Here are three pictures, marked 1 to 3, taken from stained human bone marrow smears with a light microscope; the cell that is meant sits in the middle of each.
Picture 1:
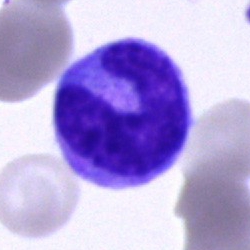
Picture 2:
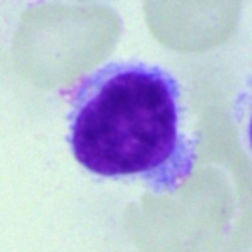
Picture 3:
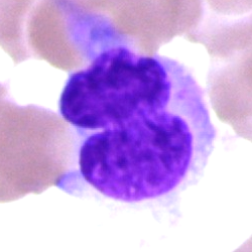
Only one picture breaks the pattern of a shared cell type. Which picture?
1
